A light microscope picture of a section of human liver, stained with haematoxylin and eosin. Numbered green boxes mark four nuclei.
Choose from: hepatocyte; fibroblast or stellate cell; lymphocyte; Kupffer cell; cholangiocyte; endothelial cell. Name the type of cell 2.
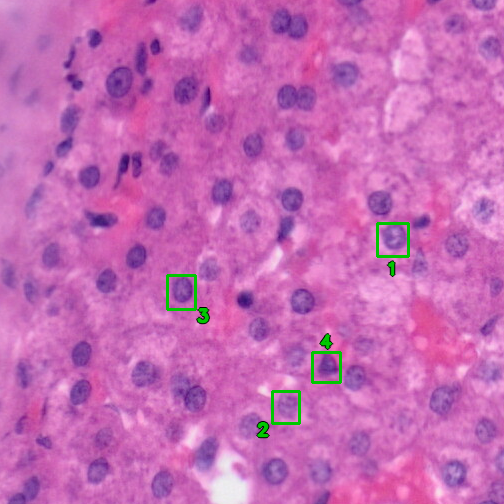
hepatocyte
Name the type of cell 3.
hepatocyte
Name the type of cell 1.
hepatocyte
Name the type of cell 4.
fibroblast or stellate cell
